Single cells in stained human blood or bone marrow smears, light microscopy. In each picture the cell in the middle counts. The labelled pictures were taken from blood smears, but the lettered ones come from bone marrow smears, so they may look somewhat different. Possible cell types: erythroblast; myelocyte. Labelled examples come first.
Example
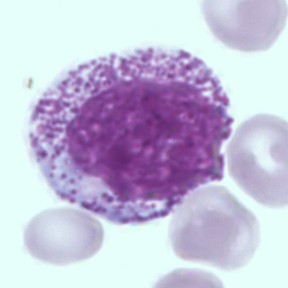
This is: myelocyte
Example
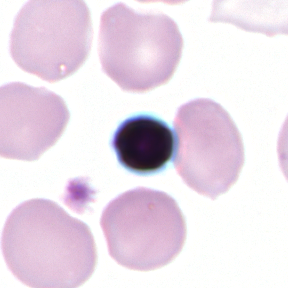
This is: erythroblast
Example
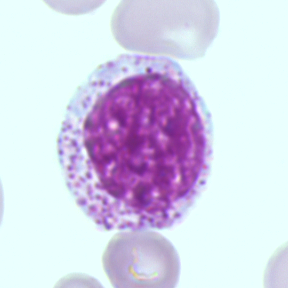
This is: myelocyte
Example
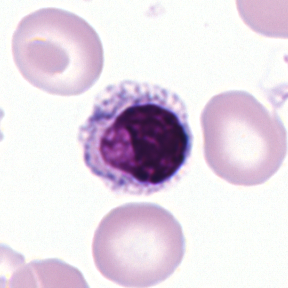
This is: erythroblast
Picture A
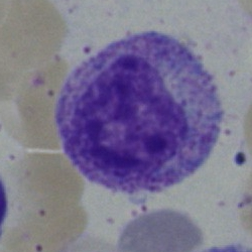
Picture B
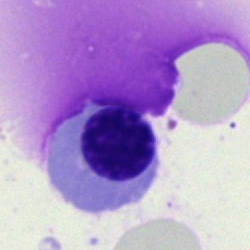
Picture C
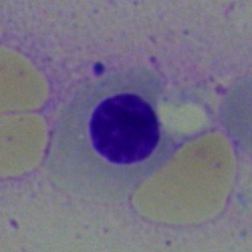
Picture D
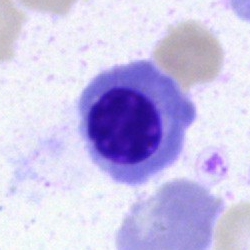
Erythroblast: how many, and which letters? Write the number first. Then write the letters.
3: B, C, D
